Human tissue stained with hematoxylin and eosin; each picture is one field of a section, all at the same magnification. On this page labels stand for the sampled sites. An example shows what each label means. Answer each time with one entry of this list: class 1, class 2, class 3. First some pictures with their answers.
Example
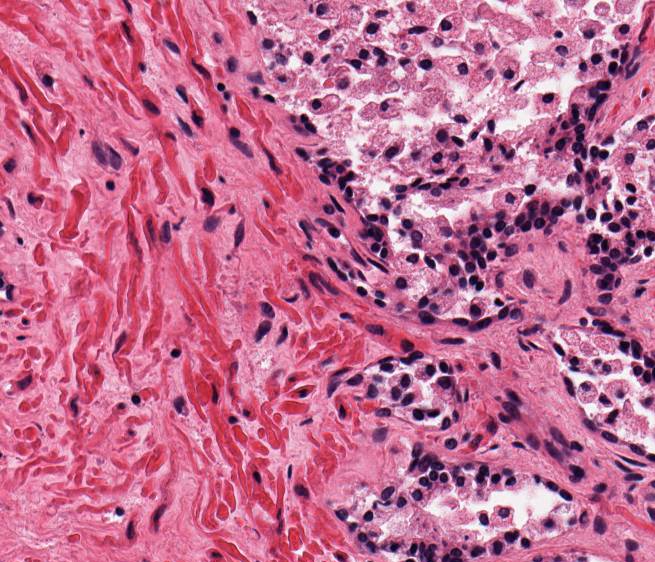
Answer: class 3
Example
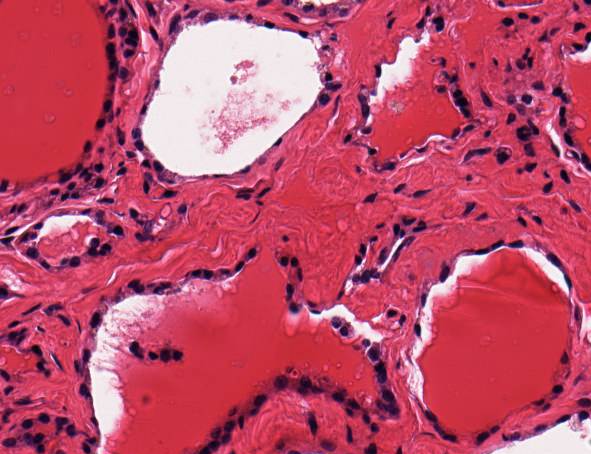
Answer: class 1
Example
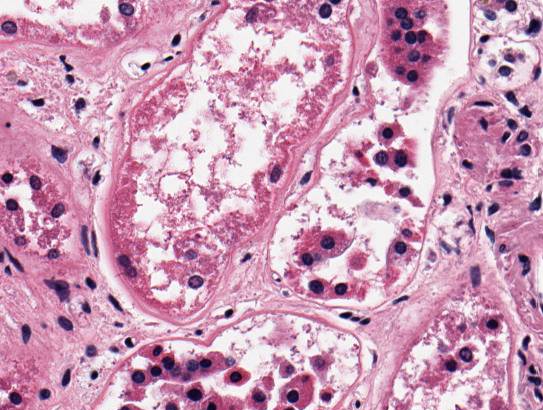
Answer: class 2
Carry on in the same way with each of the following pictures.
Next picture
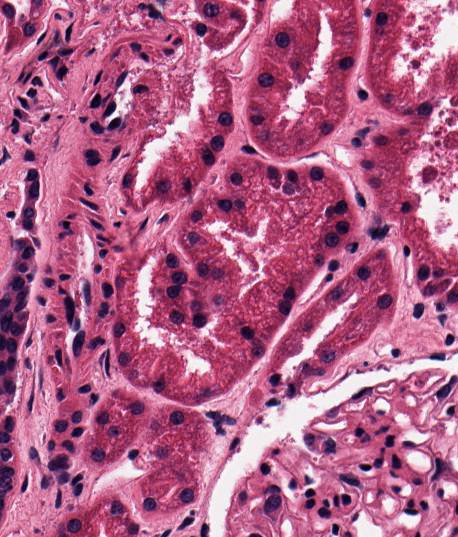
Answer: class 2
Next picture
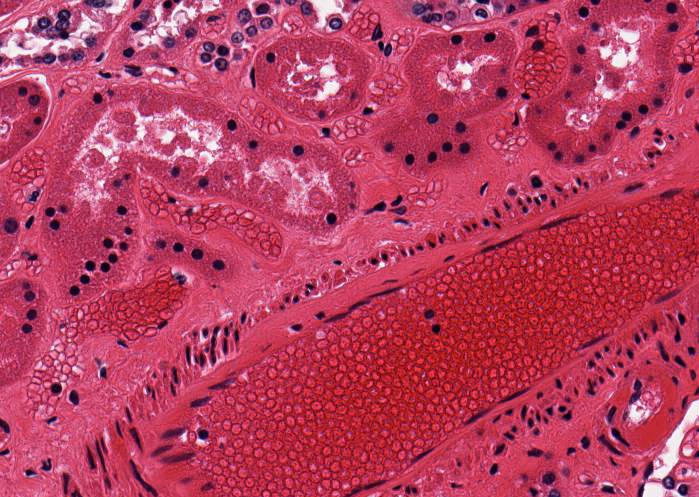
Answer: class 2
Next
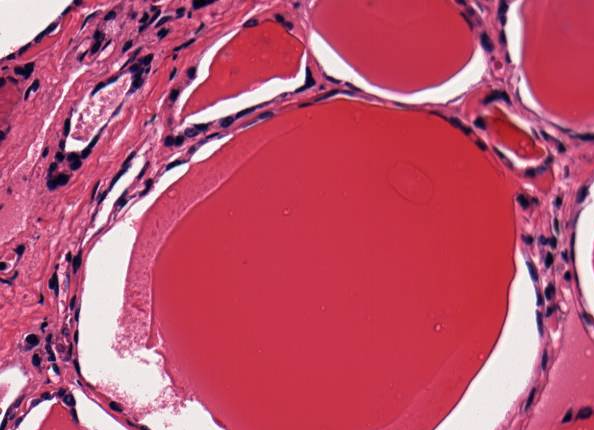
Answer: class 1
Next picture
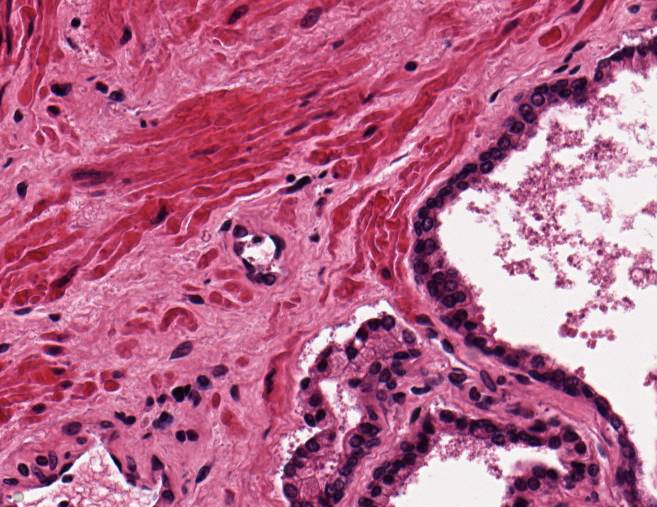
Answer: class 3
